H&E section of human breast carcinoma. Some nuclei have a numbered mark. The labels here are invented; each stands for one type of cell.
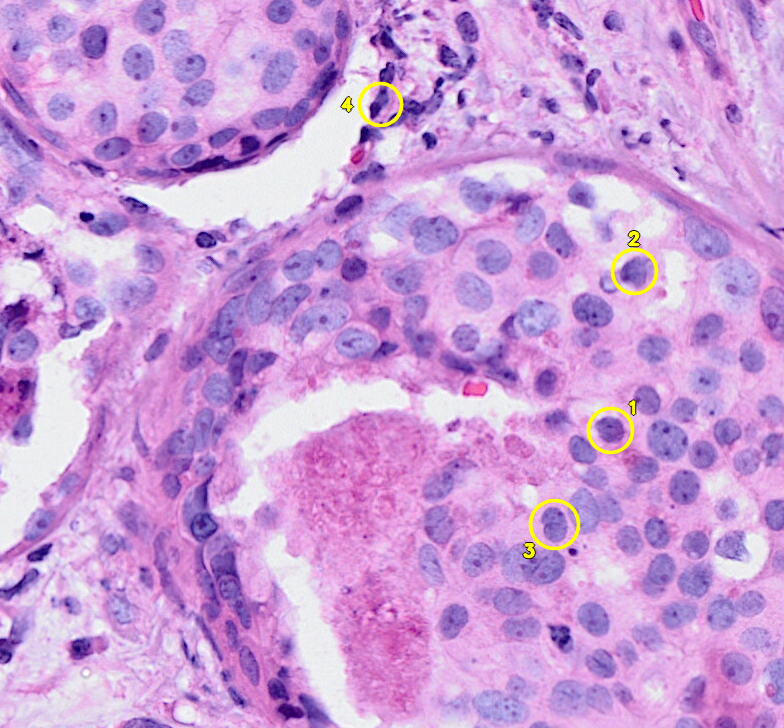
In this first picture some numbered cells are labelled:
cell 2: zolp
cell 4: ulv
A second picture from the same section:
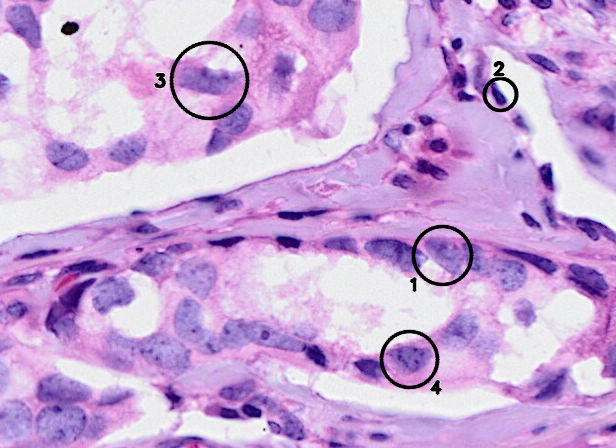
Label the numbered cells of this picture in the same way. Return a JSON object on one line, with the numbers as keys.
{"1": "zolp", "2": "ulv", "3": "zolp", "4": "zolp"}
